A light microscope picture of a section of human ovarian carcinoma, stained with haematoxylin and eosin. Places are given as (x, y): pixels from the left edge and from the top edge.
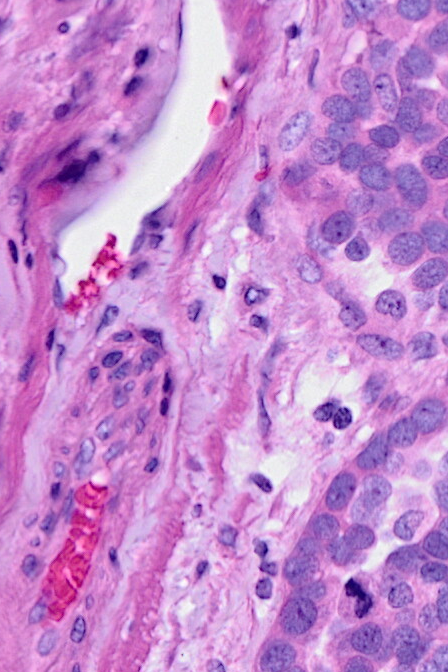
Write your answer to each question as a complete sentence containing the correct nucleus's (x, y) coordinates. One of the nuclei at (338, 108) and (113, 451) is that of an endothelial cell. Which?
Here the nucleus at (113, 451) is the one that belongs to an endothelial cell.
